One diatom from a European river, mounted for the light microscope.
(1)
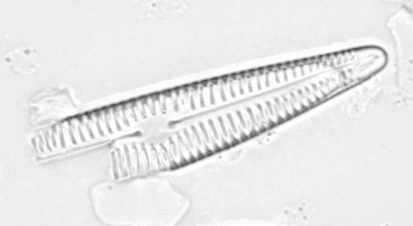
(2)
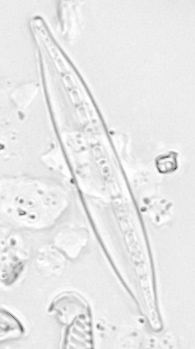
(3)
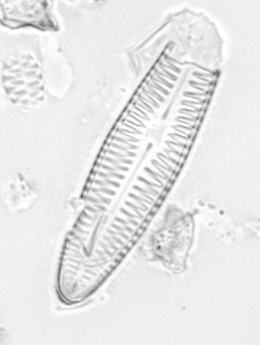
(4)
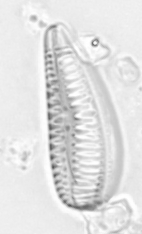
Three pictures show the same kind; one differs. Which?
Picture 2: Nitzschia, while the others are Rhoicosphenia.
